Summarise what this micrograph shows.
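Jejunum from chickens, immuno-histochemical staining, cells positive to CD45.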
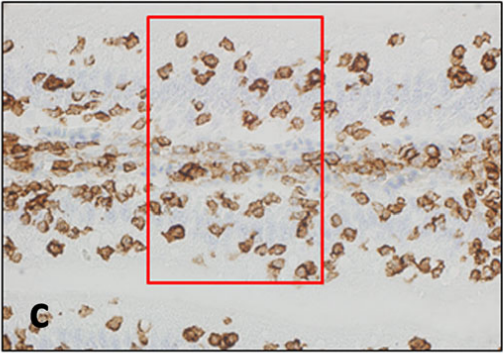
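Section of intestinal villi cut lengthwise, showing the lining epithelium on either side of a central connective-tissue core, with many small round cells stained brown. The brown cells are rounded, about the size of lymphocytes, with a dark brown rim, and lie both scattered among the tall epithelial cells and densely packed along the central core of the villus. The epithelial cells form a band of tall columnar cells with pale blue, elongated nuclei arranged in a palisade.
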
